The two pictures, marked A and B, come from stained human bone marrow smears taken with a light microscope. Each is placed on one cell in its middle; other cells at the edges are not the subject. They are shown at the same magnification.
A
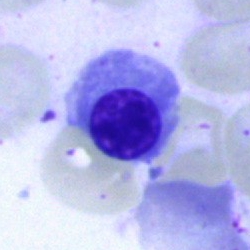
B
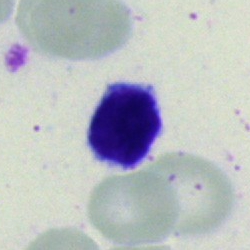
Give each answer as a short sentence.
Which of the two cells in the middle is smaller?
Picture B holds the smaller cell, since the cell in picture A covers about 2 times as much area.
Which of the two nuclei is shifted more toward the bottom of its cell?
The nucleus in picture A lies further toward the bottom of its cell.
